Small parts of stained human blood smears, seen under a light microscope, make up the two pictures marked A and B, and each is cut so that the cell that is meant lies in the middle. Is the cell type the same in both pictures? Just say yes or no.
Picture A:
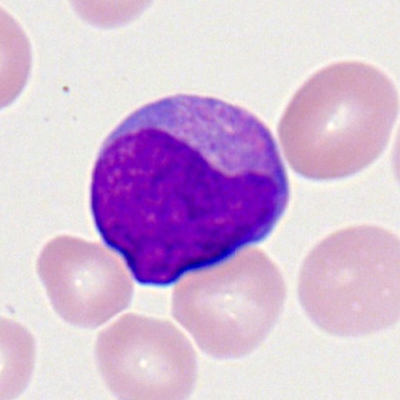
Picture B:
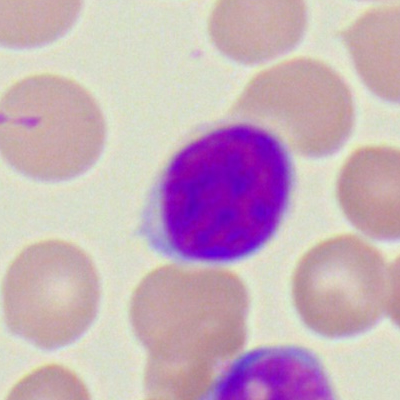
no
